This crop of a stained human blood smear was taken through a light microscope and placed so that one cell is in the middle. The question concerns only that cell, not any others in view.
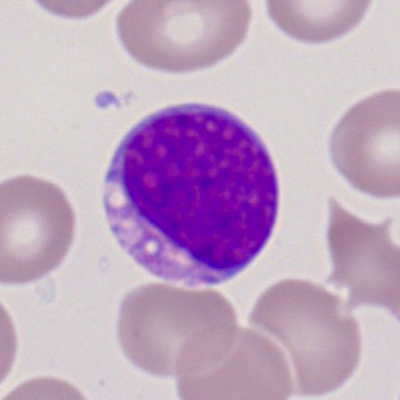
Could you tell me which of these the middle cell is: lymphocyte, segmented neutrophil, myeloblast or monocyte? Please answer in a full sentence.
This crop is built around a myeloblast at its centre.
